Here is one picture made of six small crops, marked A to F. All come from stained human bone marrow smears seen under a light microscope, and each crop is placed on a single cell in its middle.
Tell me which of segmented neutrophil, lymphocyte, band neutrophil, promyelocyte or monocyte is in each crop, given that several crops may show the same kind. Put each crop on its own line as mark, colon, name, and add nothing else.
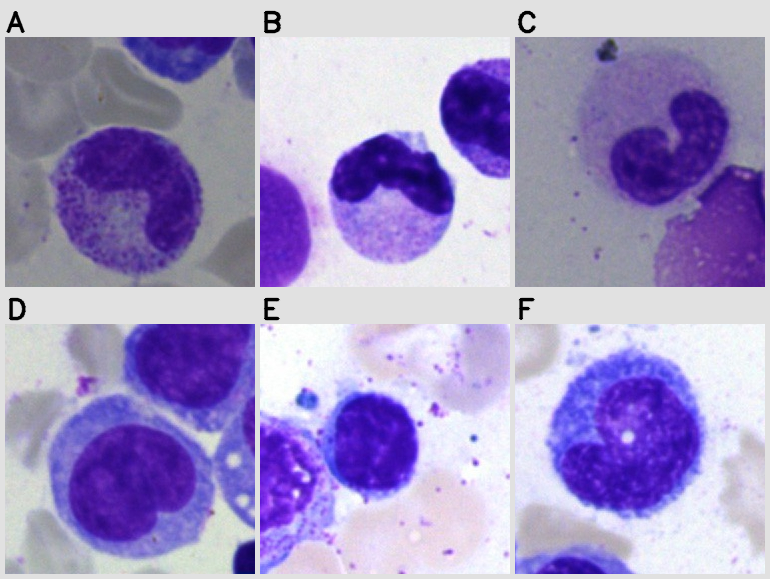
A: band neutrophil
B: band neutrophil
C: band neutrophil
D: monocyte
E: lymphocyte
F: monocyte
